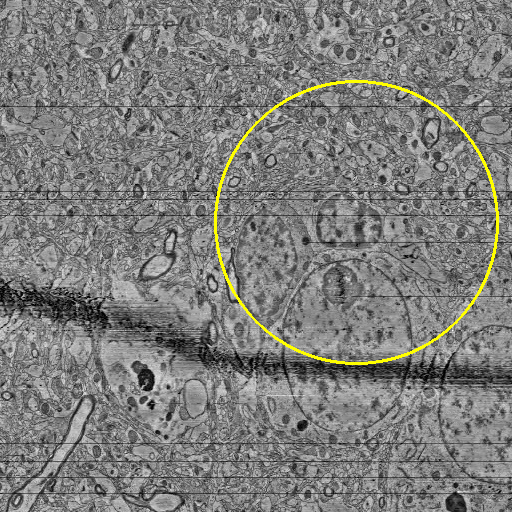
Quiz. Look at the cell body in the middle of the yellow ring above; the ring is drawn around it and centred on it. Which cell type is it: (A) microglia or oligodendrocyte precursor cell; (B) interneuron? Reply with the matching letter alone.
A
